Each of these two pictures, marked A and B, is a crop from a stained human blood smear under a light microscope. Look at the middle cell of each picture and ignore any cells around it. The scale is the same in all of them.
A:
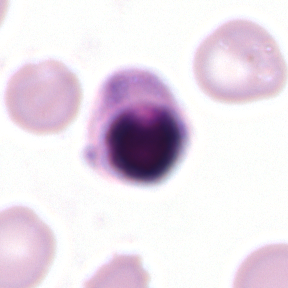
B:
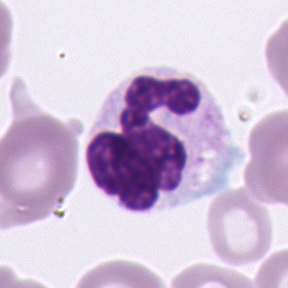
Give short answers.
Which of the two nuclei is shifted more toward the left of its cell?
B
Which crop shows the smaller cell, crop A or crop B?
A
